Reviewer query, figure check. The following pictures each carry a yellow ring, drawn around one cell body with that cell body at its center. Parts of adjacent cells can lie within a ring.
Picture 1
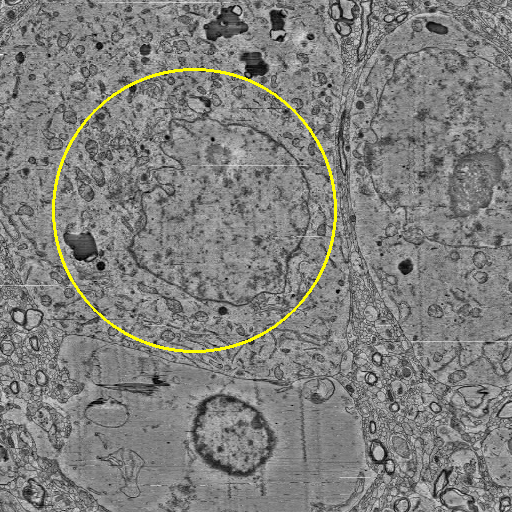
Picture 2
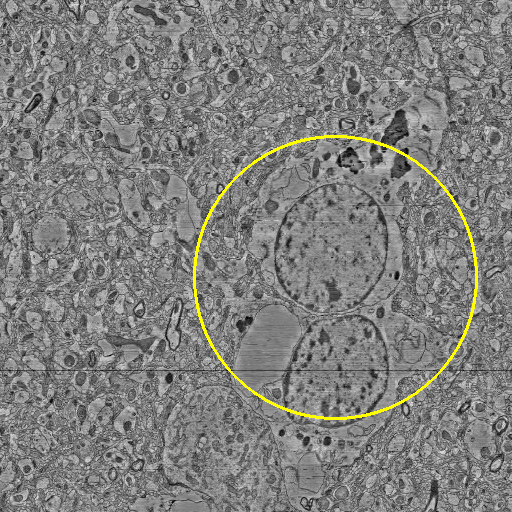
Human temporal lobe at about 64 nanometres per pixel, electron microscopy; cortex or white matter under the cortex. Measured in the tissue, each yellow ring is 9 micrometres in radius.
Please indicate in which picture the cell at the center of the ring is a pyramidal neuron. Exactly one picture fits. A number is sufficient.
1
